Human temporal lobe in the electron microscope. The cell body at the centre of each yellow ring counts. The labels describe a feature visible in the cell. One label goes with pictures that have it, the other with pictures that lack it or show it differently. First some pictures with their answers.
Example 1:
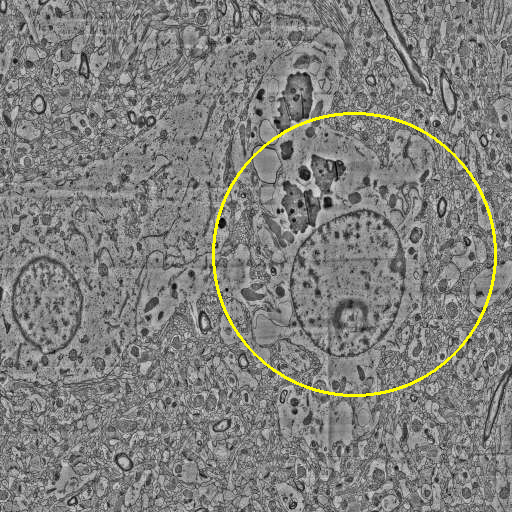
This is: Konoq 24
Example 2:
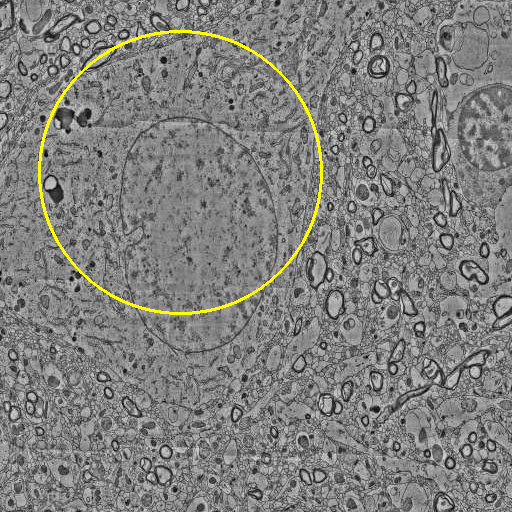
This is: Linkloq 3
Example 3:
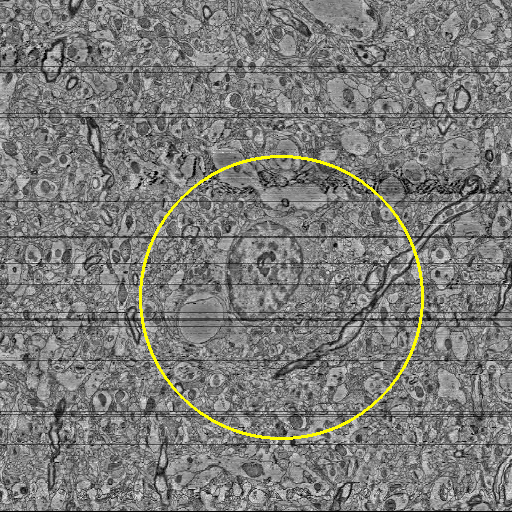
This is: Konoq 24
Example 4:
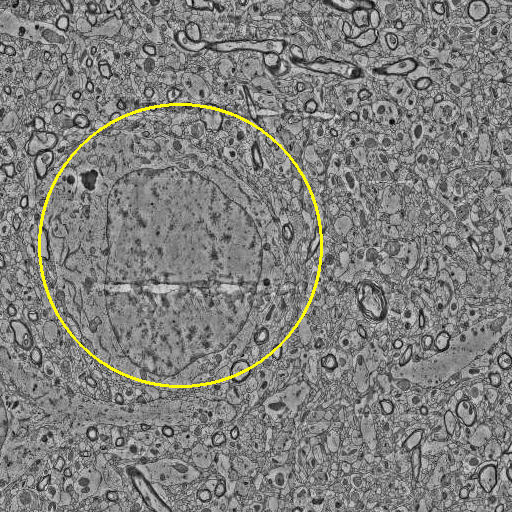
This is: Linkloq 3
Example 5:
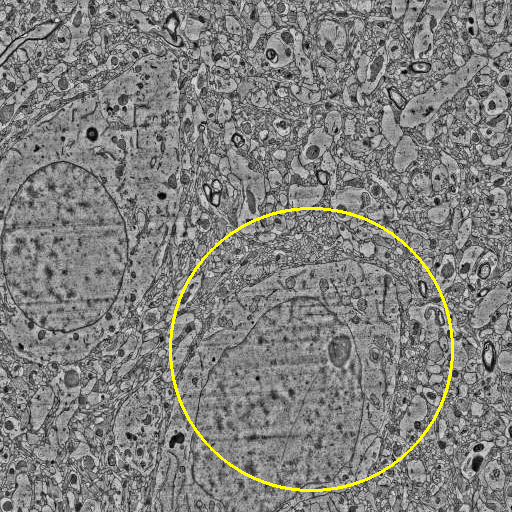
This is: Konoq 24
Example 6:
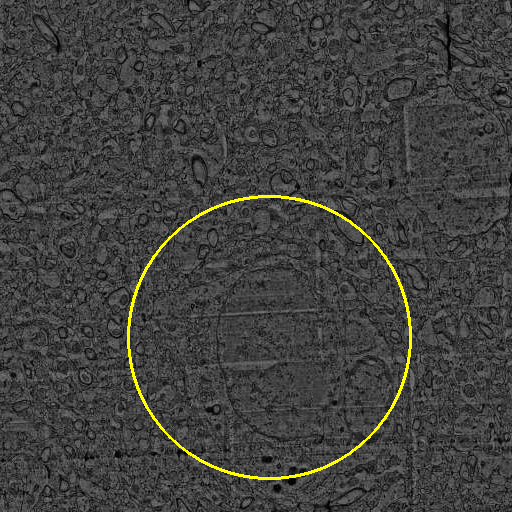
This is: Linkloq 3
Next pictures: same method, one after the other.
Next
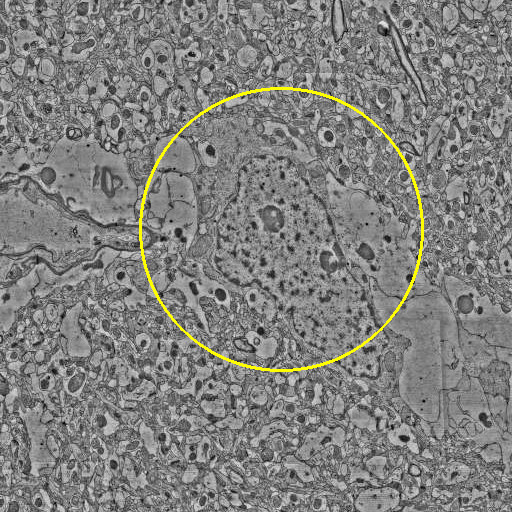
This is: Konoq 24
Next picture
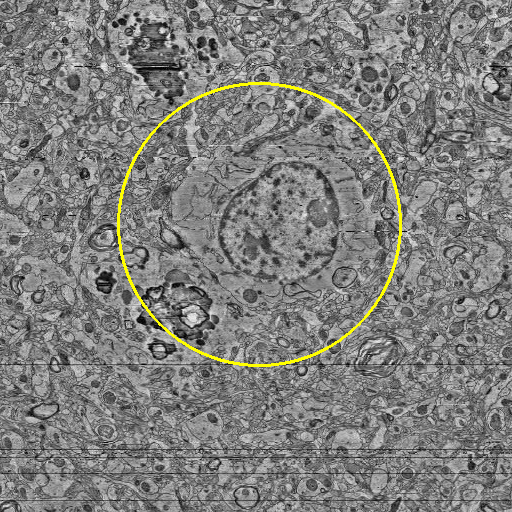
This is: Konoq 24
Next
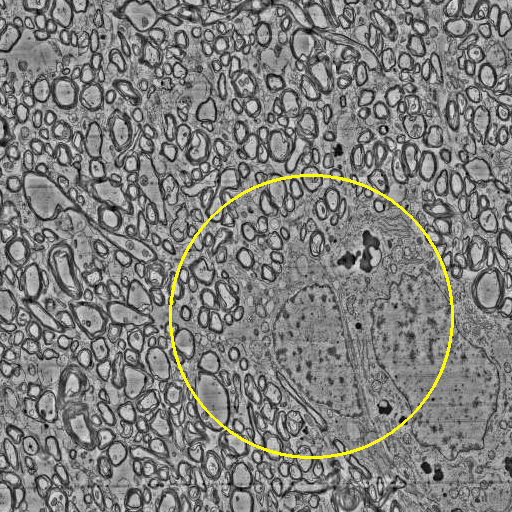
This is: Linkloq 3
